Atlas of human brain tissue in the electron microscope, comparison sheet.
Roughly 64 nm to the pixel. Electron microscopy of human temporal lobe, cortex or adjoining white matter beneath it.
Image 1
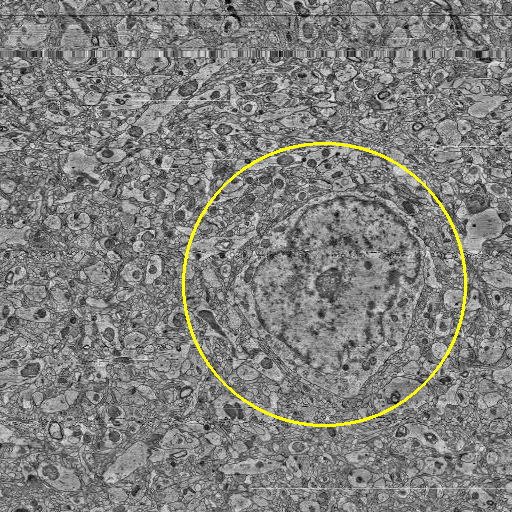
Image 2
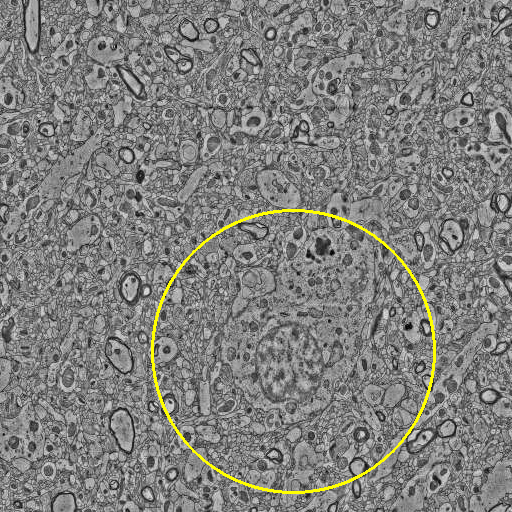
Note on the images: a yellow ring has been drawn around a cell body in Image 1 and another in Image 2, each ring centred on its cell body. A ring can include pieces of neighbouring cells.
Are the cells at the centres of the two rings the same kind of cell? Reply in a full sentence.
Yes, both cells are of the same kind.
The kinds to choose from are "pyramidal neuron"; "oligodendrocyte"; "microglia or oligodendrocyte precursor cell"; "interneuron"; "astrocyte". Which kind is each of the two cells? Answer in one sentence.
The ring centre holds an interneuron in each of the two pictures.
